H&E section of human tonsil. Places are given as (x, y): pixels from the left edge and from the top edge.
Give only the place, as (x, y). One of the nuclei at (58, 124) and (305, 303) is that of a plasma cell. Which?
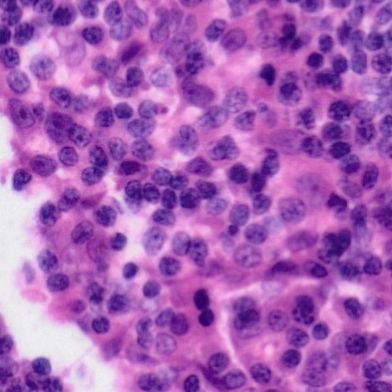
(305, 303)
